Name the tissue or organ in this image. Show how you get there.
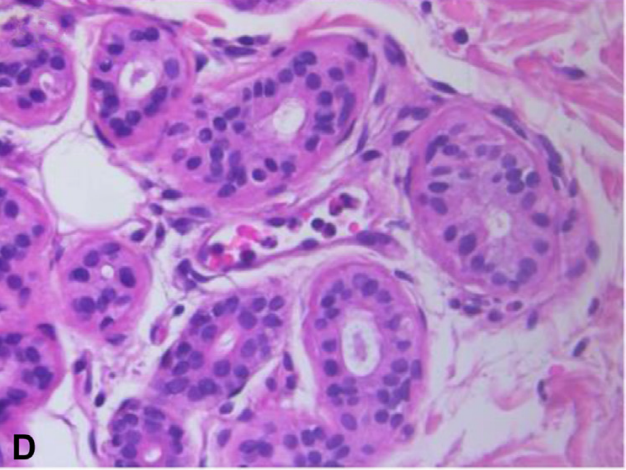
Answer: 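Sweat glands. Round tubules lined by cuboidal cells with central small lumens. The tubules lie clustered in loose dermal stroma beside a fat cell.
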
